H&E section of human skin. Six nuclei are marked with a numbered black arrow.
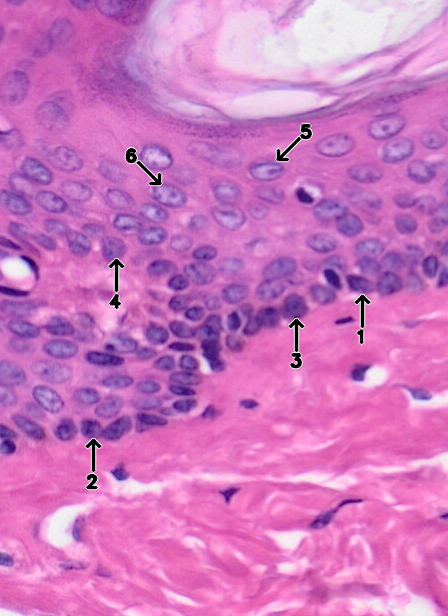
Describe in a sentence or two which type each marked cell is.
Cell 1 is a basal keratinocyte, cell 2 is a basal keratinocyte, cell 3 is a basal keratinocyte, cell 4 is a basal keratinocyte, cell 5 is a suprabasal keratinocyte and cell 6 is a suprabasal keratinocyte.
